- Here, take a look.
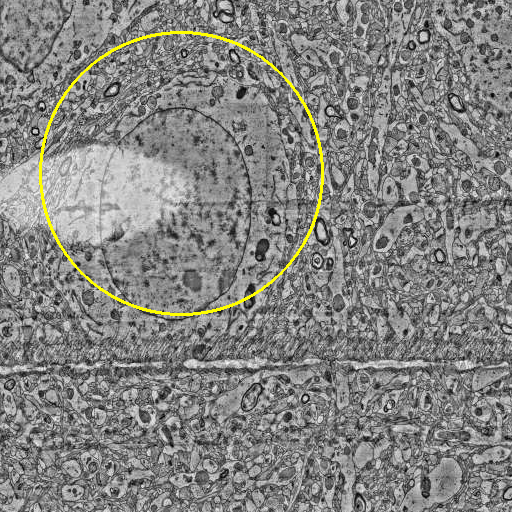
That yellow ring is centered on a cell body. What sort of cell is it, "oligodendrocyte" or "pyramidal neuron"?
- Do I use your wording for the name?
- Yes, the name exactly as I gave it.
pyramidal neuron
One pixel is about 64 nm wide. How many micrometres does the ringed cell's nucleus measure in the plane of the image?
In this plane, the nucleus of the cell at the centre of the ring measures about 14 by 10 micrometres.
